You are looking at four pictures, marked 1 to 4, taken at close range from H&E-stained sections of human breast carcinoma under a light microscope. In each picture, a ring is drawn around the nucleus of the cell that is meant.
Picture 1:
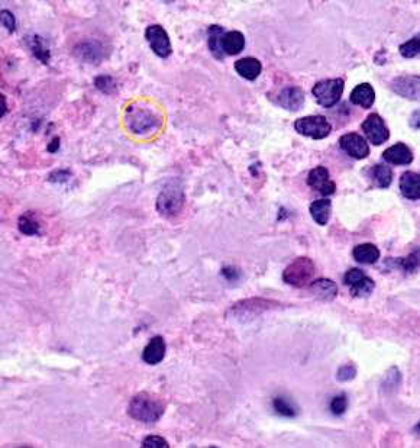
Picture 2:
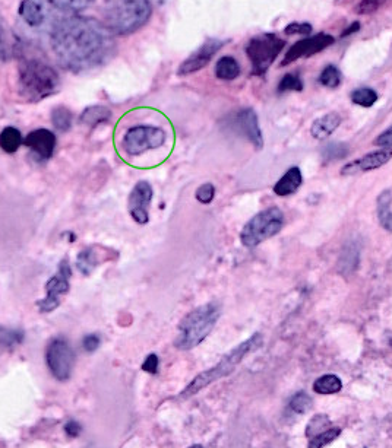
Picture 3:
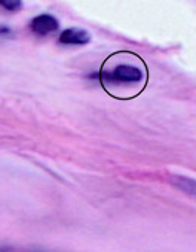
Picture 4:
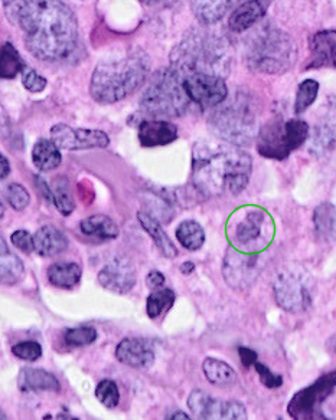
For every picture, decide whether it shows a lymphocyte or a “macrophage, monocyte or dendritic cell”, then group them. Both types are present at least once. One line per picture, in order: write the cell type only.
macrophage, monocyte or dendritic cell
macrophage, monocyte or dendritic cell
lymphocyte
macrophage, monocyte or dendritic cell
